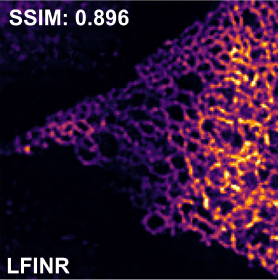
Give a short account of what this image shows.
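Here we look at the thin outer part of a cell, where the endoplasmic reticulum spreads as a fine net. It is made of narrow tubules joined at junctions into many small polygons and rings, like a fishing net. Toward one side the mesh becomes tighter and brighter, shown in orange and yellow, as it approaches the thicker part of the cell; toward the thin edge the tubules are fewer and the loops larger, fading into dark background. The individual tubules and their junctions are clearly separated rather than blurred together.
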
